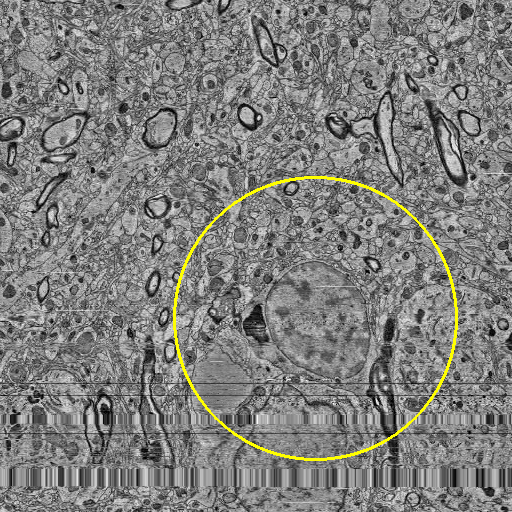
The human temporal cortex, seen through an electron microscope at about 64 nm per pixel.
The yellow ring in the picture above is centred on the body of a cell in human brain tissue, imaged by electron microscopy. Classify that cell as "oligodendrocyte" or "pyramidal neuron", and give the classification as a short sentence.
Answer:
The cell in the middle of the ring is an oligodendrocyte.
